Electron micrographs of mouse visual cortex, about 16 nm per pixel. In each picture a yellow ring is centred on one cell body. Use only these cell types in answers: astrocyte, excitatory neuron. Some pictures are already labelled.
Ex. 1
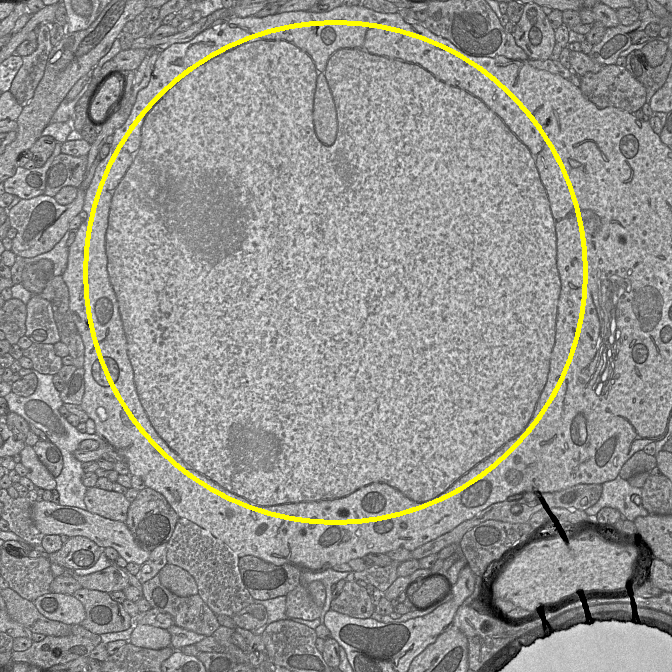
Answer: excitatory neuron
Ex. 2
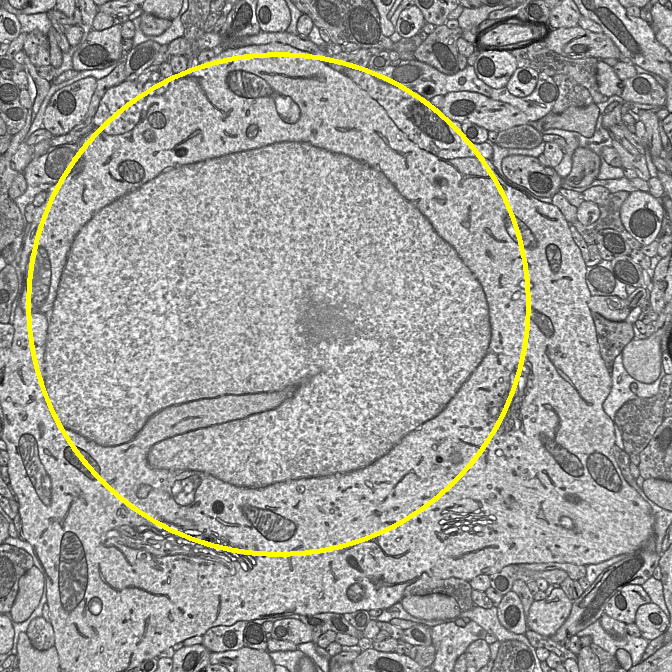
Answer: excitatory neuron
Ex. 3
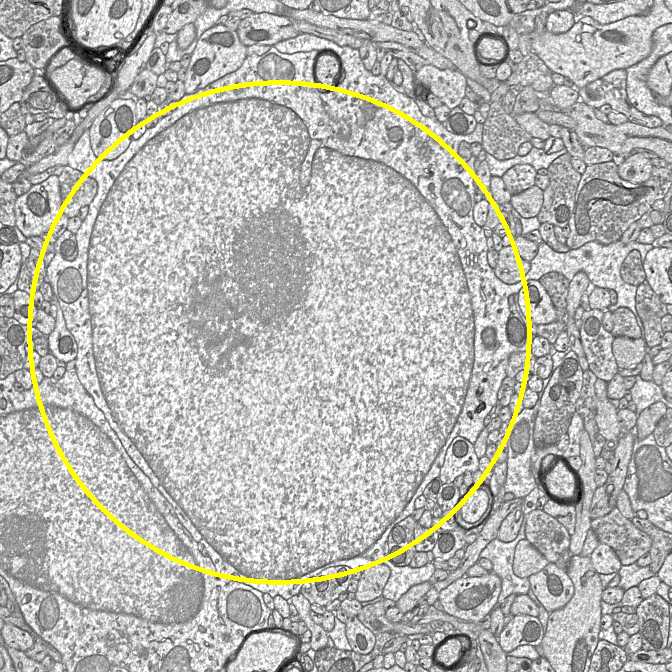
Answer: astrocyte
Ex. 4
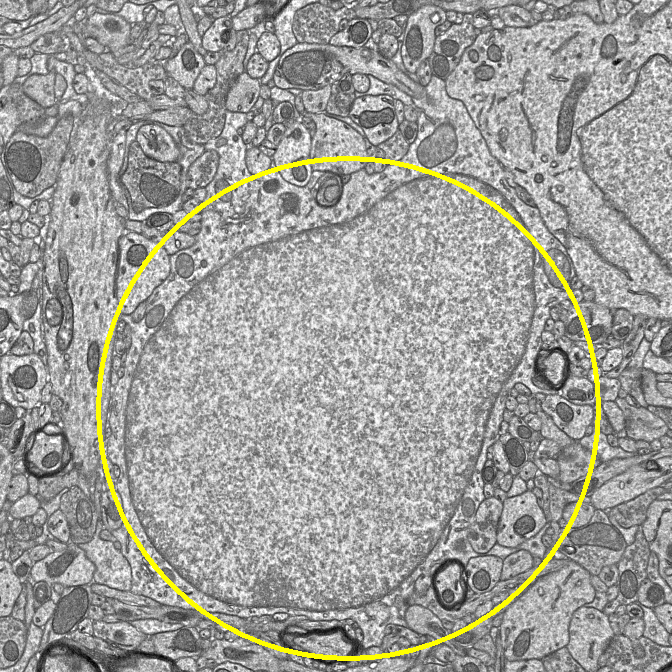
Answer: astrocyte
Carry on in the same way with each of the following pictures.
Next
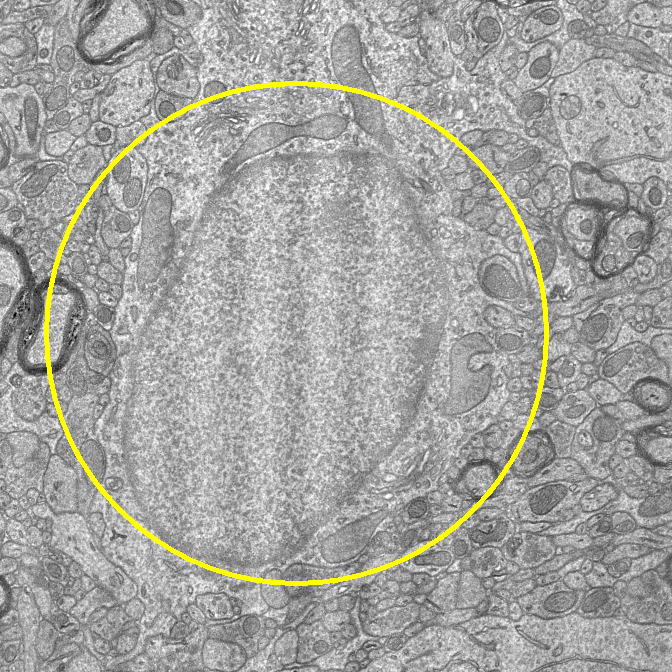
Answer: astrocyte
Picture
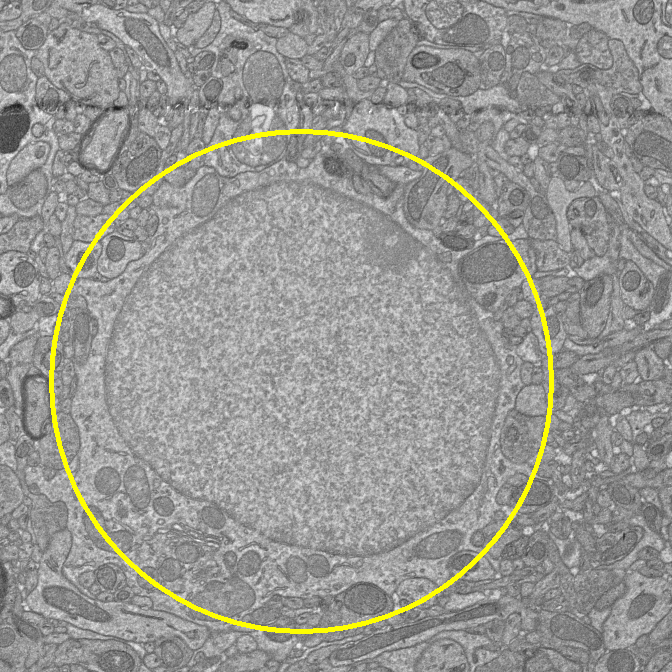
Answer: astrocyte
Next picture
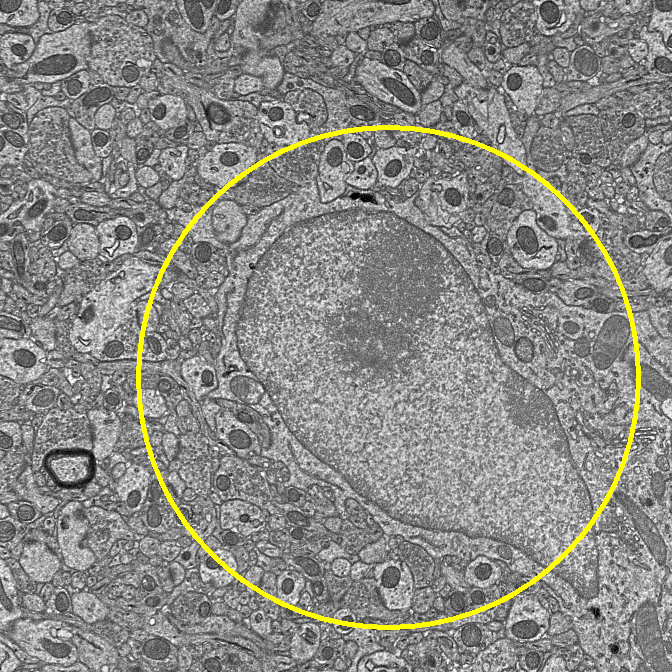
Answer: astrocyte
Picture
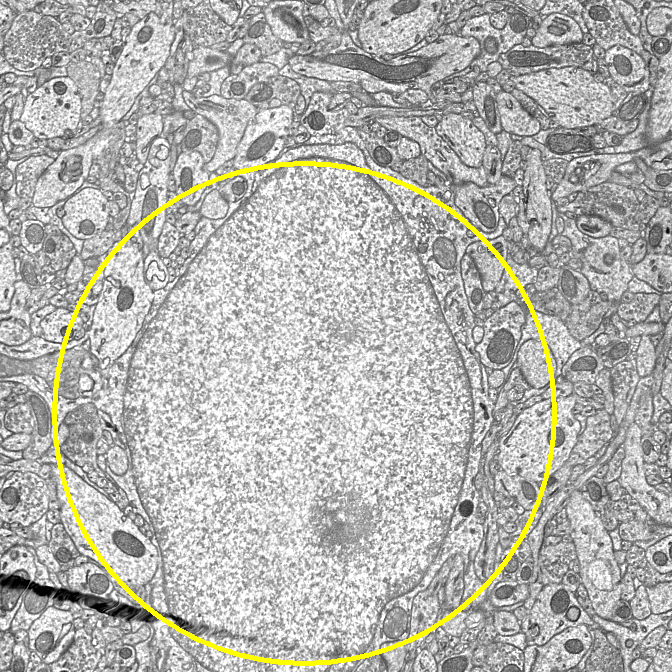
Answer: astrocyte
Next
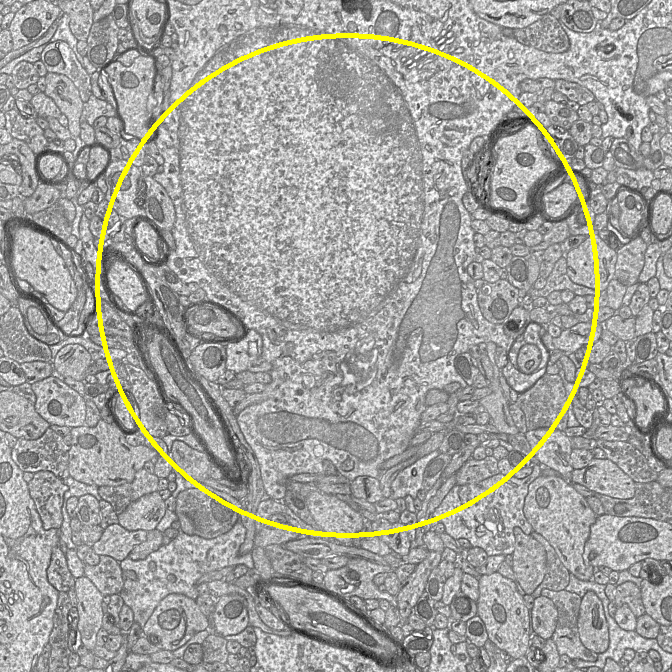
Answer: astrocyte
